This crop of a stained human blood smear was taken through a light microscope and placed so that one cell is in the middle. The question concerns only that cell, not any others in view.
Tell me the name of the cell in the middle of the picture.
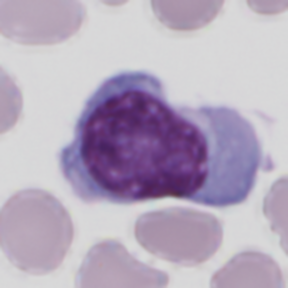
plasma cell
